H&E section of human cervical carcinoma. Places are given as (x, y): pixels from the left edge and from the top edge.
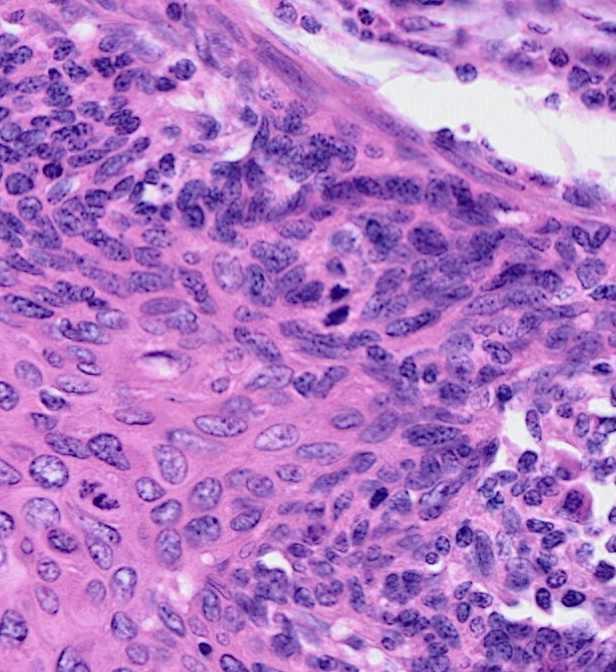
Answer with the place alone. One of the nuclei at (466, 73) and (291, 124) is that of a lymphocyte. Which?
(466, 73)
